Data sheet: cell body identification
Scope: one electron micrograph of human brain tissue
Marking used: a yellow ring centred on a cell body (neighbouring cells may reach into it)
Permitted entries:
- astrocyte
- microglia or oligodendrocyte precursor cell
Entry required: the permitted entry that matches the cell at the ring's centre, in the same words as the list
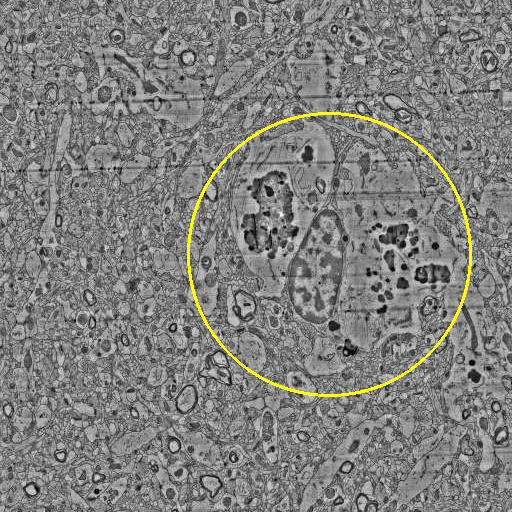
microglia or oligodendrocyte precursor cell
